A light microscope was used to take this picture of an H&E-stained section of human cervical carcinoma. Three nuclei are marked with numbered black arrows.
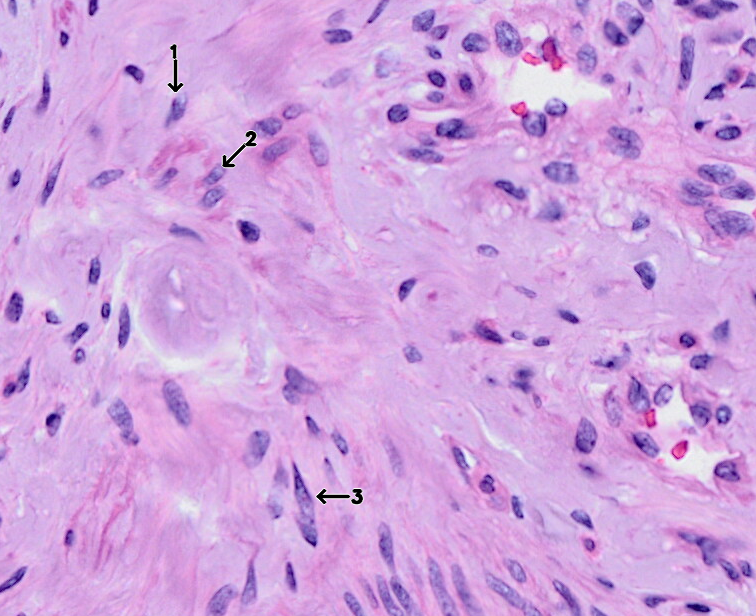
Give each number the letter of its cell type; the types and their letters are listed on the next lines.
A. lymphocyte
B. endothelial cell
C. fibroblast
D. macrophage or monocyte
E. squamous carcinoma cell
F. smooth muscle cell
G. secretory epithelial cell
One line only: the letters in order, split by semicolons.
C; F; C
